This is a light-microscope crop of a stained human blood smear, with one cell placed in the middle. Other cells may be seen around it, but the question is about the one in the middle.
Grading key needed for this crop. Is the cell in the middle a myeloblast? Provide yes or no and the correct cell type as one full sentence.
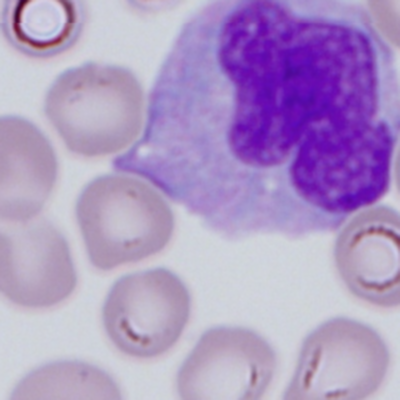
No, the central cell is designated a monocyte and not a myeloblast.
